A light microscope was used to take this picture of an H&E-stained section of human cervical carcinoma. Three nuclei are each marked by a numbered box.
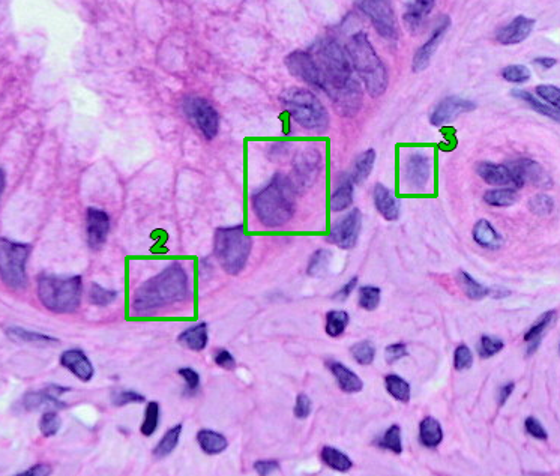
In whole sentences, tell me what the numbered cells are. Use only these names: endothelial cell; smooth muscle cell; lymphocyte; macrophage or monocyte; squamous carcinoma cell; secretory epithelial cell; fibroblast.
Cells 1 and 2 are secretory epithelial cells. Cell 3 is a fibroblast.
